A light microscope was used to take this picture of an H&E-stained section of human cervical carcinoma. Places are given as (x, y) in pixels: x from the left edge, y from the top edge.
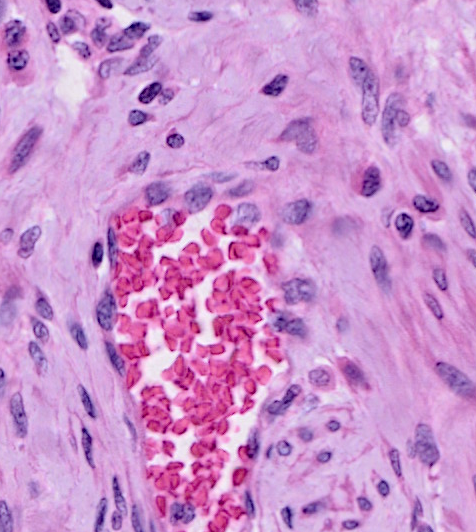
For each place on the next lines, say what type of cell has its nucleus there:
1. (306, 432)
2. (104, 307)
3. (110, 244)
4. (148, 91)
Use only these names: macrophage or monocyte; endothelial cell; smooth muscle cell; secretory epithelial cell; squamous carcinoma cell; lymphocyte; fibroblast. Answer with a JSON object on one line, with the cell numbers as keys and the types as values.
{"1": "smooth muscle cell", "2": "endothelial cell", "3": "endothelial cell", "4": "lymphocyte"}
